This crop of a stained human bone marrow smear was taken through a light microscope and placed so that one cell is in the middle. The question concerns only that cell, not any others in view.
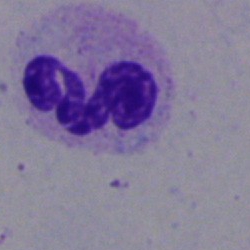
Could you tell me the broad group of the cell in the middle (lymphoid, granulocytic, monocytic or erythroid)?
granulocytic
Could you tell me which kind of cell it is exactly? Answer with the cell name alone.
segmented neutrophil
